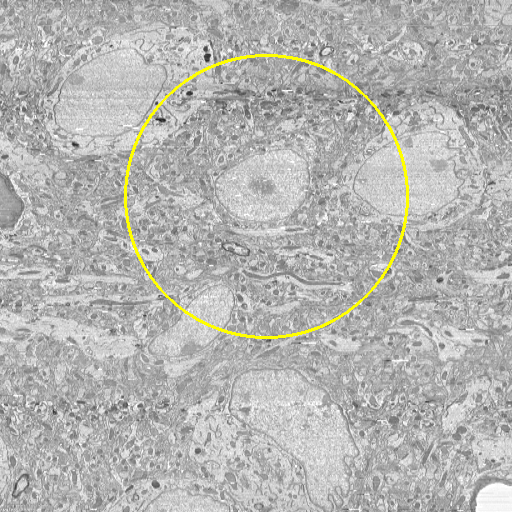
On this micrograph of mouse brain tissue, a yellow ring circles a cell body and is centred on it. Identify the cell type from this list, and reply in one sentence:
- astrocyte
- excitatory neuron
The cell at the centre is an astrocyte.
